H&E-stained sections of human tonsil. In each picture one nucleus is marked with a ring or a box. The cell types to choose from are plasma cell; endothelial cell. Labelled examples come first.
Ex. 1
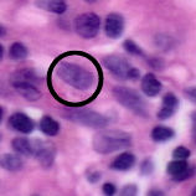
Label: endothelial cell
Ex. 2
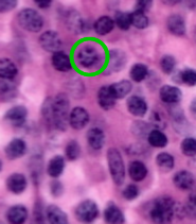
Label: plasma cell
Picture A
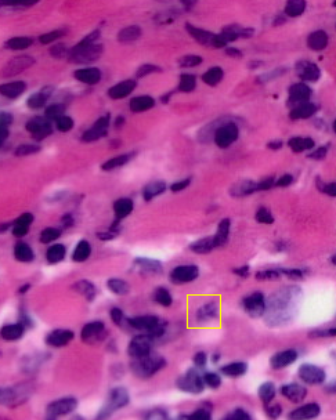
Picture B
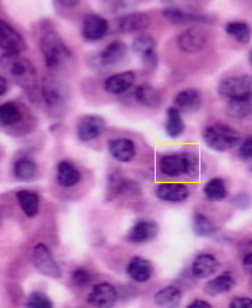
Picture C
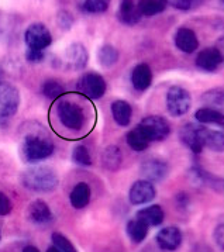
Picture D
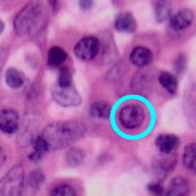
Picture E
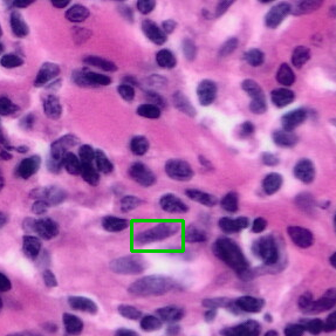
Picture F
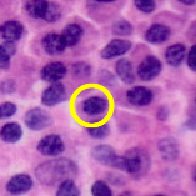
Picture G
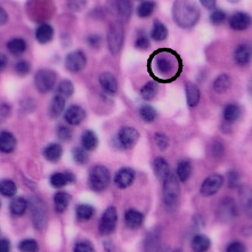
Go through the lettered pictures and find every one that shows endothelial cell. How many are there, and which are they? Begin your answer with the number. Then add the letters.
2: A, E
